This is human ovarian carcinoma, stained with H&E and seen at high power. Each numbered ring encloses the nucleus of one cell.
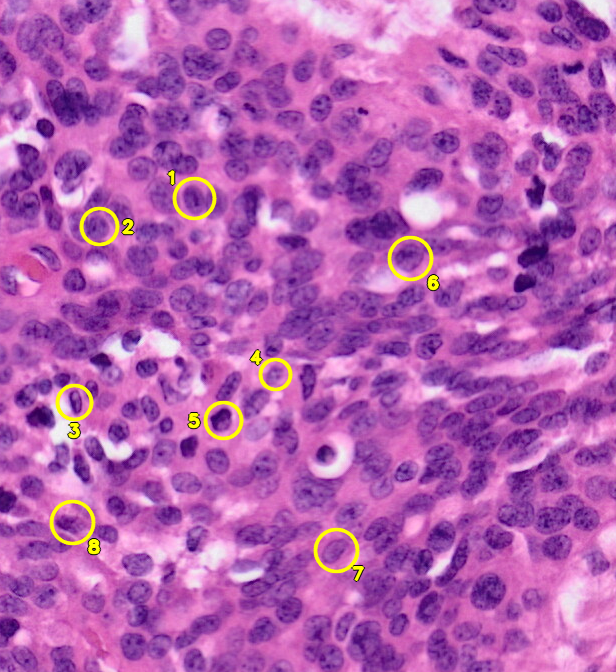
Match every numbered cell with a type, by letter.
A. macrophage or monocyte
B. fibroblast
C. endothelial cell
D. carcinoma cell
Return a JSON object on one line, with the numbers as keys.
{"1": "D", "2": "D", "3": "A", "4": "A", "5": "A", "6": "D", "7": "D", "8": "D"}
